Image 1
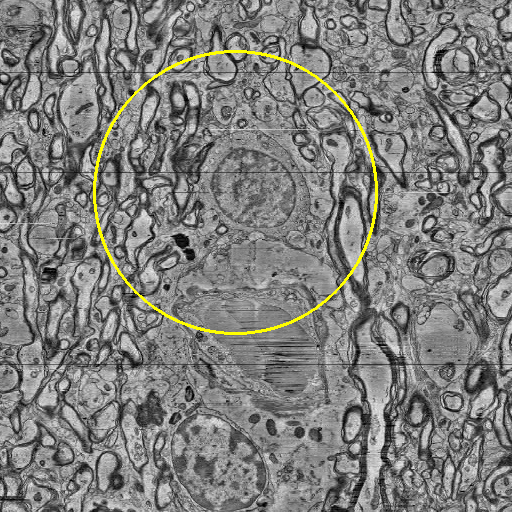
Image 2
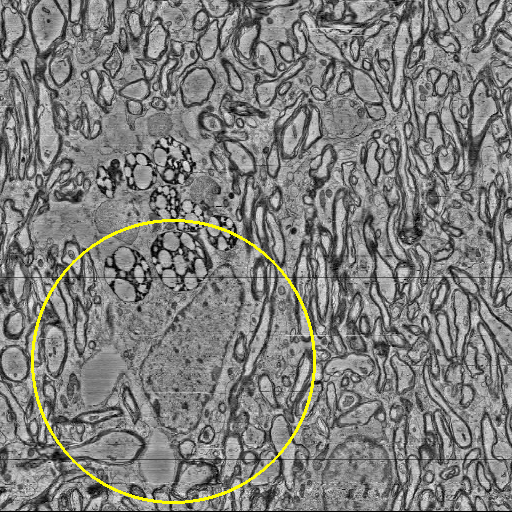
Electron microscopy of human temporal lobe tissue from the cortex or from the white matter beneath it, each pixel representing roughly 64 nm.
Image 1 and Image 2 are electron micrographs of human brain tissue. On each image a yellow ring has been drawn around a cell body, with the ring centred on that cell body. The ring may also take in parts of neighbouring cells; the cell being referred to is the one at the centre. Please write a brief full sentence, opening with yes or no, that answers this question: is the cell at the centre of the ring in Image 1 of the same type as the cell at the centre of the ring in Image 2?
No, the two cells are of two types.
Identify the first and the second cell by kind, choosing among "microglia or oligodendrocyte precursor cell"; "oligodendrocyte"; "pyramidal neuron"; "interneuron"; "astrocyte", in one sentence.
The one in the first picture is an oligodendrocyte, while the one in the second is an astrocyte.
